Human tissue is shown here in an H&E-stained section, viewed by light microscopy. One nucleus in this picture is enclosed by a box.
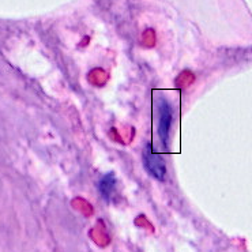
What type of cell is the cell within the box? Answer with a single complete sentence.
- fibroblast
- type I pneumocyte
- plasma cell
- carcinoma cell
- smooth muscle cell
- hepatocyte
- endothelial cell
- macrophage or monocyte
It is a fibroblast that the cell within the box represents.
